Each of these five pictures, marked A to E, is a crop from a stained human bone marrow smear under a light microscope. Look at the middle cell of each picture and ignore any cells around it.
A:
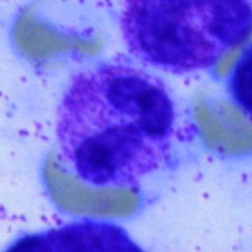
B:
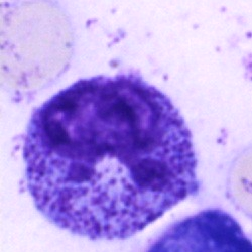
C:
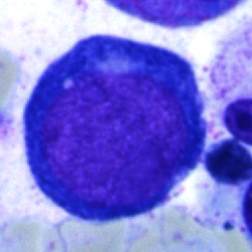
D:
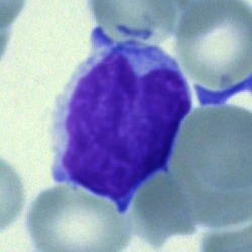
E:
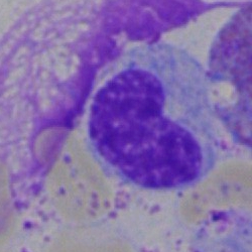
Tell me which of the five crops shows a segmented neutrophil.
A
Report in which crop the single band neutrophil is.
E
